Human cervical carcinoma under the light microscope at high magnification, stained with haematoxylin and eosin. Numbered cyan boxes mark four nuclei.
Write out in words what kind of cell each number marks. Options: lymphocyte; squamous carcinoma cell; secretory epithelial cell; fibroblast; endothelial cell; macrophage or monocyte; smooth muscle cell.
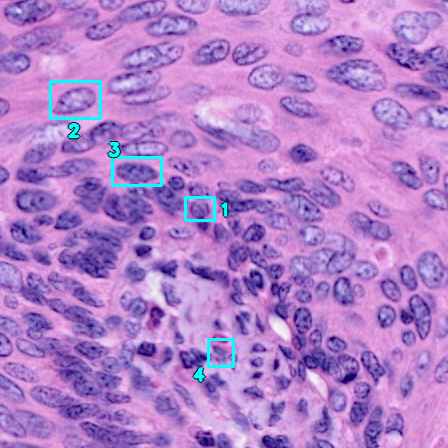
Cell 1 is a squamous carcinoma cell, cell 2 is a squamous carcinoma cell, cell 3 is a squamous carcinoma cell and cell 4 is an endothelial cell.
